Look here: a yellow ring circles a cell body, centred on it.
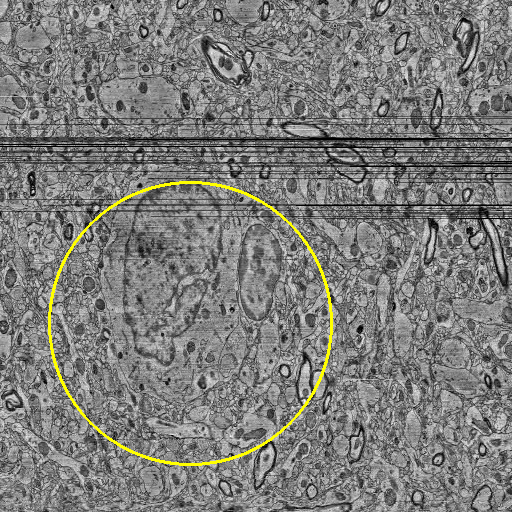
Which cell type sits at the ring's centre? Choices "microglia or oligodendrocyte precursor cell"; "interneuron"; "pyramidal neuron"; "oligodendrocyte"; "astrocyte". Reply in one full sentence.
The cell at the centre of the yellow ring in the picture is an interneuron.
